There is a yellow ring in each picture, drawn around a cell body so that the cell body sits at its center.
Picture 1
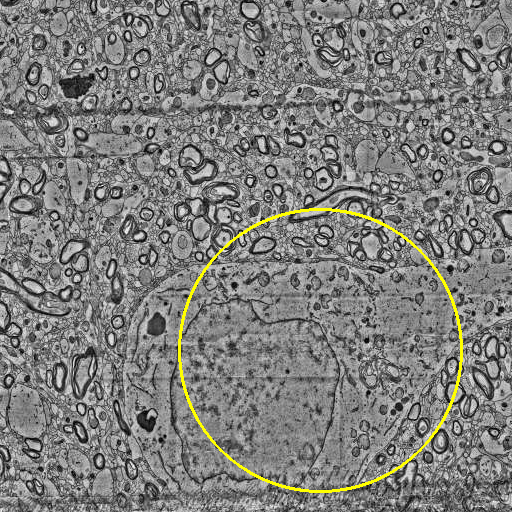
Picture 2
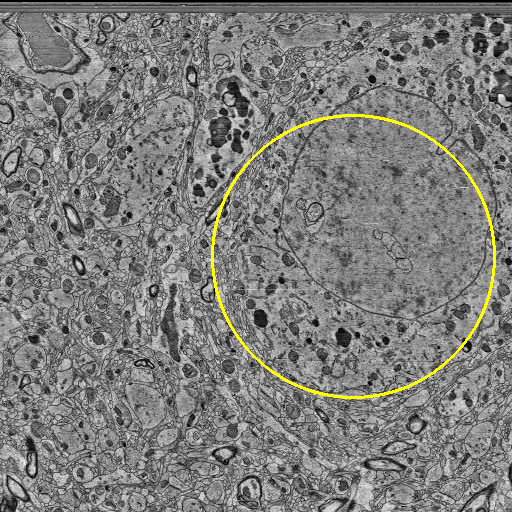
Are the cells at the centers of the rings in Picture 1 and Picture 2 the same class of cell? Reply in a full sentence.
Yes, the two cells are the same class of cell.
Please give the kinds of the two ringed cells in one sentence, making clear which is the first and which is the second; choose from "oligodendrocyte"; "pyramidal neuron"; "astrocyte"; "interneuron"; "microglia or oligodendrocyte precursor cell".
The ring centre holds a pyramidal neuron in each of the two pictures.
